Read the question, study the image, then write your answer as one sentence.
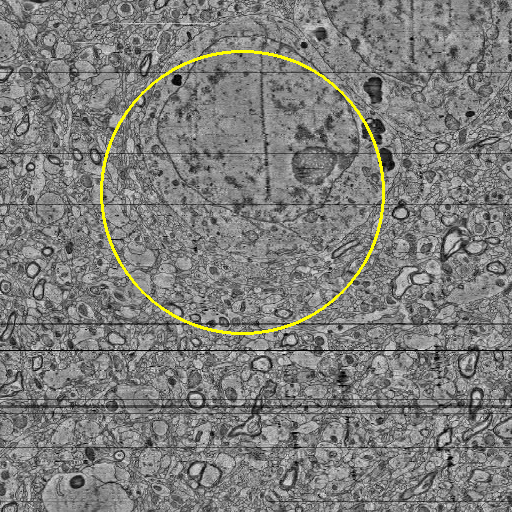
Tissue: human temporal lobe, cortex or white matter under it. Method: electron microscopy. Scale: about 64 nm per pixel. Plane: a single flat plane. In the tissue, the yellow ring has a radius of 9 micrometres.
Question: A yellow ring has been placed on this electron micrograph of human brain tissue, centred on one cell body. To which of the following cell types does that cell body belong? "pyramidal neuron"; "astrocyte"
That cell body belongs to a pyramidal neuron.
